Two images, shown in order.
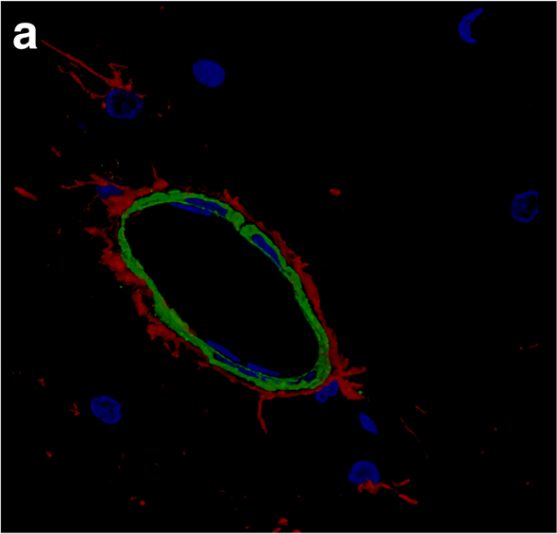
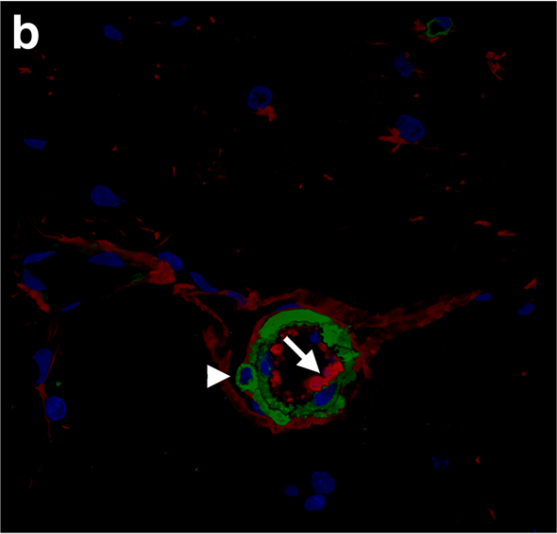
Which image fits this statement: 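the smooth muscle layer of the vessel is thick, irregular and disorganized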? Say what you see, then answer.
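First image: the green ring is thin, smooth and even around an open oval lumen. Second image: the green ring is thick, uneven and lumpy around a narrow lumen. So: the second image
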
